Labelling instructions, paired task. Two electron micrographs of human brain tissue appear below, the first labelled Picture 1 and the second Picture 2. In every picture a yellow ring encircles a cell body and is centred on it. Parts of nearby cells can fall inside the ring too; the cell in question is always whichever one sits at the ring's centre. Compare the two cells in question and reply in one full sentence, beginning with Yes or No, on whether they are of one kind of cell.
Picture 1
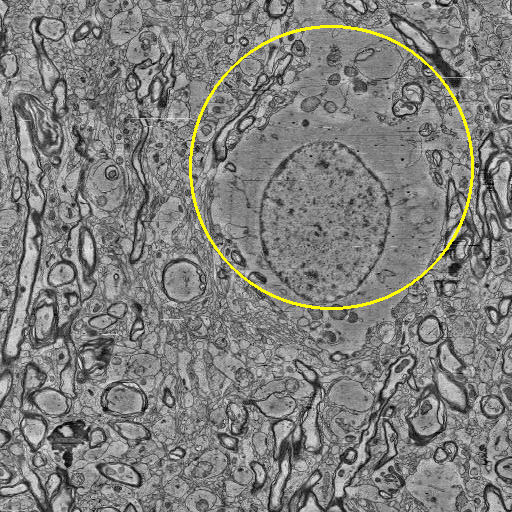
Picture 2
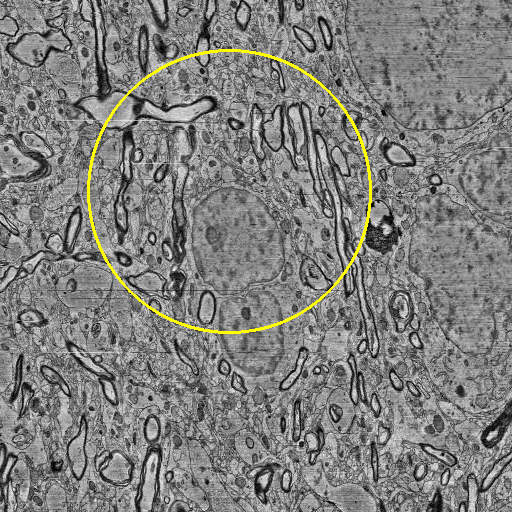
No, the two cells at the ring centres in Picture 1 and Picture 2 are of two kinds.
